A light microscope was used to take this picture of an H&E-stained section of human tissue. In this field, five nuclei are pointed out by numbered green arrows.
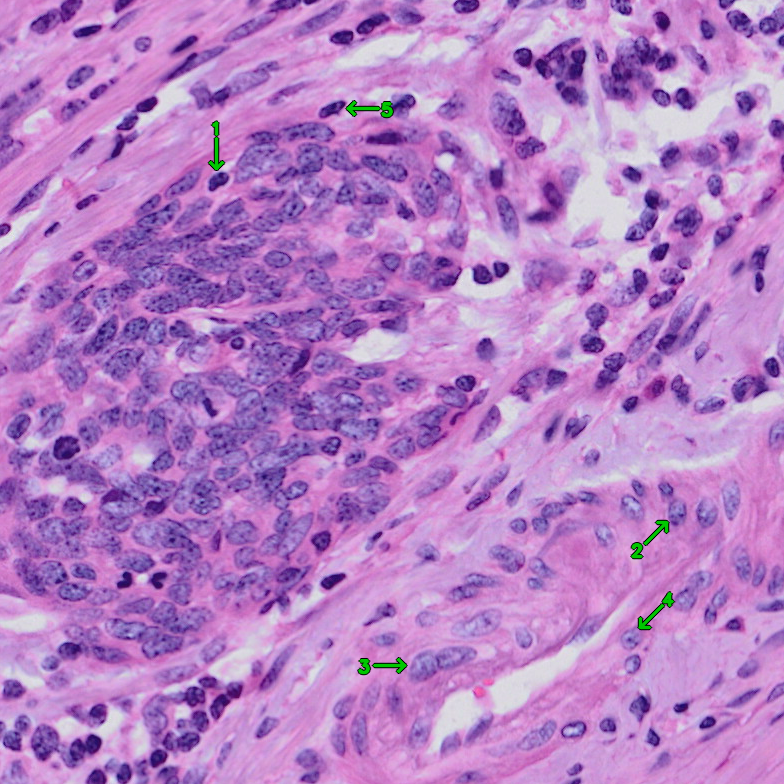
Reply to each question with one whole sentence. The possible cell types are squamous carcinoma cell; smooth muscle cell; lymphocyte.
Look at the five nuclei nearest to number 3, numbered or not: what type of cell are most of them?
Around number 3, most of the five nearest nuclei are those of smooth muscle cells.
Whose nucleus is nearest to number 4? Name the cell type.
It is a smooth muscle cell whose nucleus is nearest to number 4.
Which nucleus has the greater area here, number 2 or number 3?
Nucleus 3 is larger, with an area about 1.5 times that of nucleus 2.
